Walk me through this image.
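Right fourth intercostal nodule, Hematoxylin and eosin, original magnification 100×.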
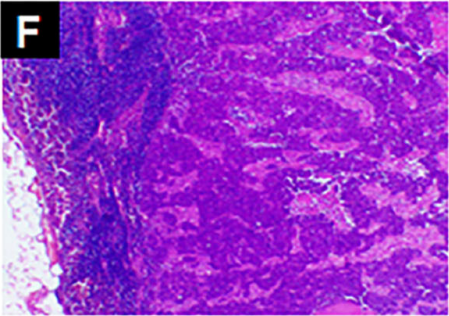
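This section shows a lymph node taken over by cancer cells. Along the left edge lies a dense band of small, round, dark-blue lymphoid cells, with a thin pale rim of surrounding tissue at the far left. The rest of the field is filled by purple-staining tumour tissue arranged in sheets, nests and cords.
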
